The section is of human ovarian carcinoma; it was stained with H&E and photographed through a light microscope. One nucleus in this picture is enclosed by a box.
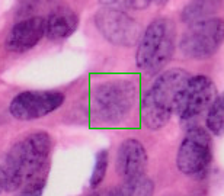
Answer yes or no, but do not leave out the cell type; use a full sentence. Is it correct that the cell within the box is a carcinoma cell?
Yes, the identification of the cell within the box as a carcinoma cell stands.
